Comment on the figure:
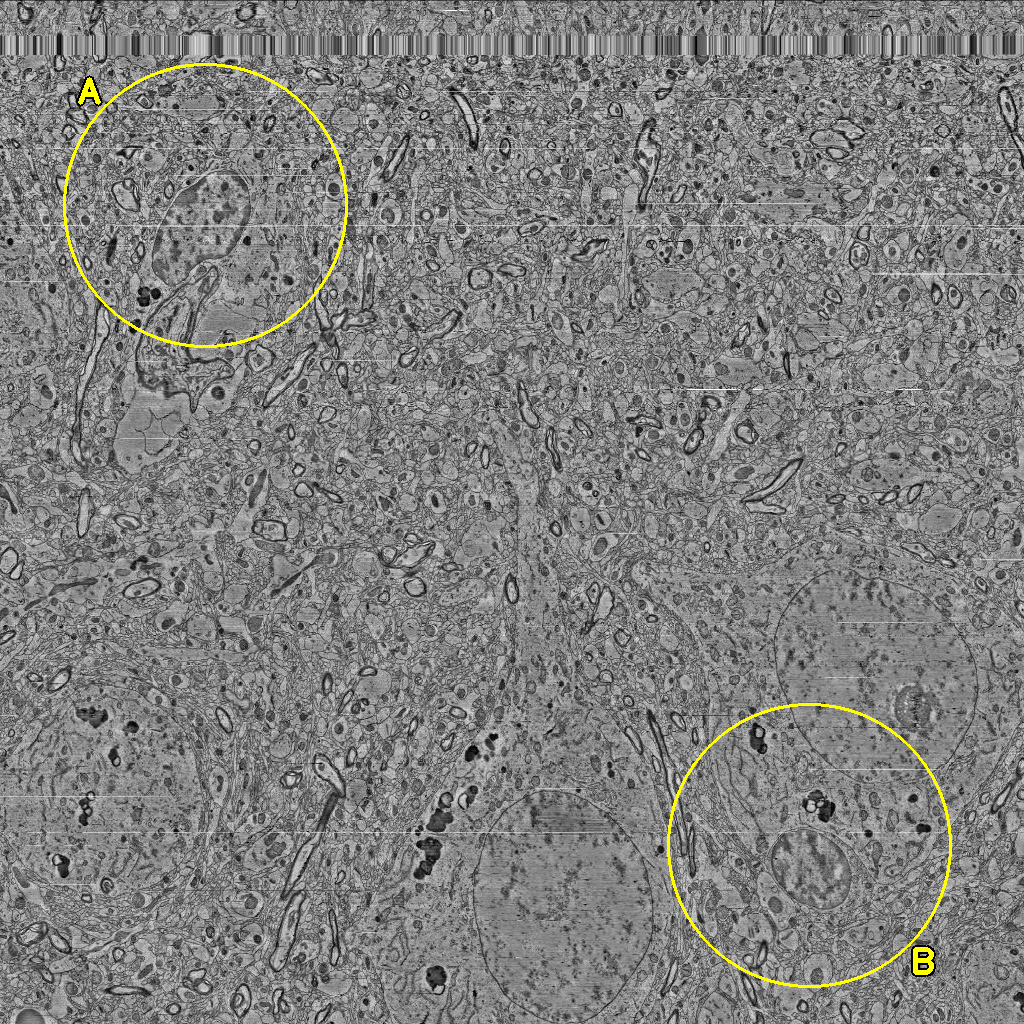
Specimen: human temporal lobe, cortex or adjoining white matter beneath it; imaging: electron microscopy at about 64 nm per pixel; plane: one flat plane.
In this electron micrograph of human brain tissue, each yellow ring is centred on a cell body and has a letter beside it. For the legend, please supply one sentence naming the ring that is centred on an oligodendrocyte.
Ring B is centred on that cell.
